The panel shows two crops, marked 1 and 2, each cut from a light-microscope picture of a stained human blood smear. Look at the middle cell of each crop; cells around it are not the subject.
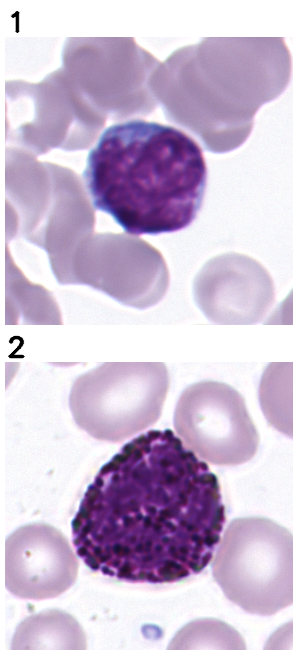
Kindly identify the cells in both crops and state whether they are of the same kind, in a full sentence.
No, shown in crop 1 is a typical lymphocyte, and shown in crop 2 is a basophil.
